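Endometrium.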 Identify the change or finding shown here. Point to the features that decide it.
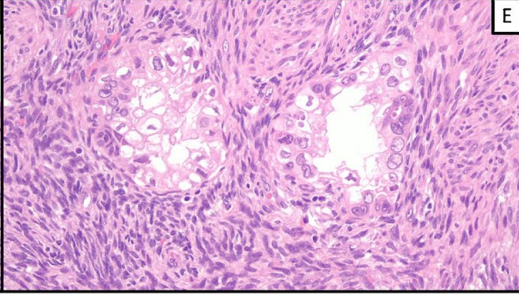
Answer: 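Clarification. Gland-lining cells have pale, clear, vacuolated cytoplasm. Clear cells surround small lumina within spindle-cell stroma.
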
